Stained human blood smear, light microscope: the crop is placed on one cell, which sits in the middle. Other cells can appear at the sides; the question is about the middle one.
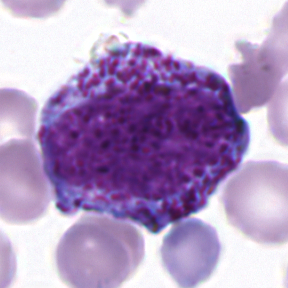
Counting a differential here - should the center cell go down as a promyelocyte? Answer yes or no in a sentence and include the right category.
Yes, at the centre of the crop lies a promyelocyte.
